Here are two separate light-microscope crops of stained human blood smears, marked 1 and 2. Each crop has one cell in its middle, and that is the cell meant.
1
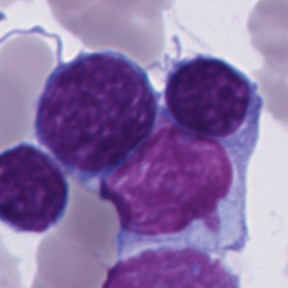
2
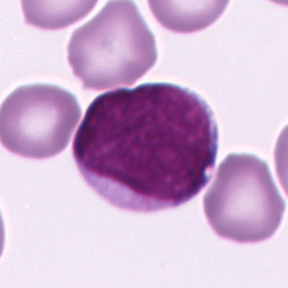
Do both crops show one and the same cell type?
yes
